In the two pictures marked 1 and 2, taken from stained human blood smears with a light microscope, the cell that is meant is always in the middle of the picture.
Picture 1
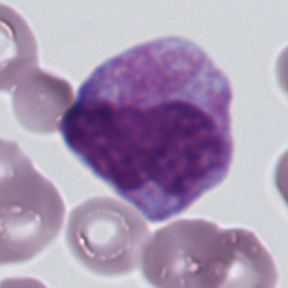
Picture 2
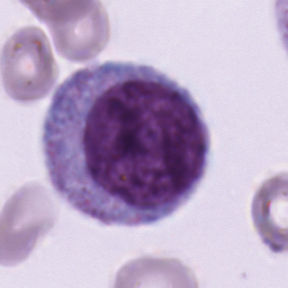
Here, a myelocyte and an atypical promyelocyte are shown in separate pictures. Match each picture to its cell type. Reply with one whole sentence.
In picture 1 the cell is an atypical promyelocyte; in picture 2, a myelocyte.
